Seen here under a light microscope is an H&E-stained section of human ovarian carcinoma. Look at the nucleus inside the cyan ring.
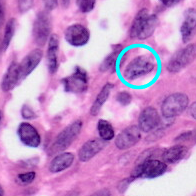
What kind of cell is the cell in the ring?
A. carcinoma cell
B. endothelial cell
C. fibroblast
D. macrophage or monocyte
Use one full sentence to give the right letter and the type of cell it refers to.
Option D is right, and the cell in the ring is a macrophage or monocyte.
